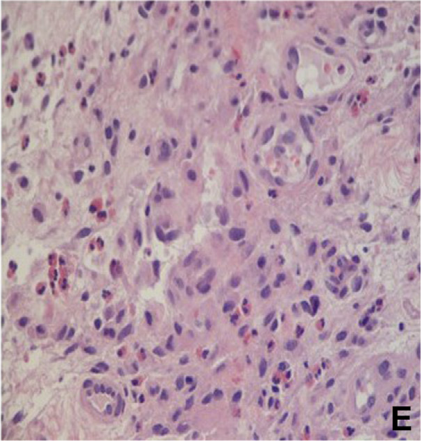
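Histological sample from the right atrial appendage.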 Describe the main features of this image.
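High-power view of inflamed tissue with many scattered cells with bright red-orange granular cytoplasm, consistent with eosinophils infiltrating the stroma. Several of these cells have lobed, dark nuclei. They lie among plump oval-nucleated stromal cells in pale pink matrix, beside small vessels containing red blood cells.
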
